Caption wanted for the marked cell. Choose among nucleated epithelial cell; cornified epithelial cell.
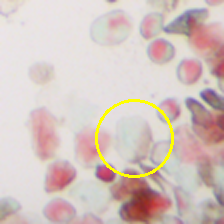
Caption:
Ringed in yellow is a cornified epithelial cell.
